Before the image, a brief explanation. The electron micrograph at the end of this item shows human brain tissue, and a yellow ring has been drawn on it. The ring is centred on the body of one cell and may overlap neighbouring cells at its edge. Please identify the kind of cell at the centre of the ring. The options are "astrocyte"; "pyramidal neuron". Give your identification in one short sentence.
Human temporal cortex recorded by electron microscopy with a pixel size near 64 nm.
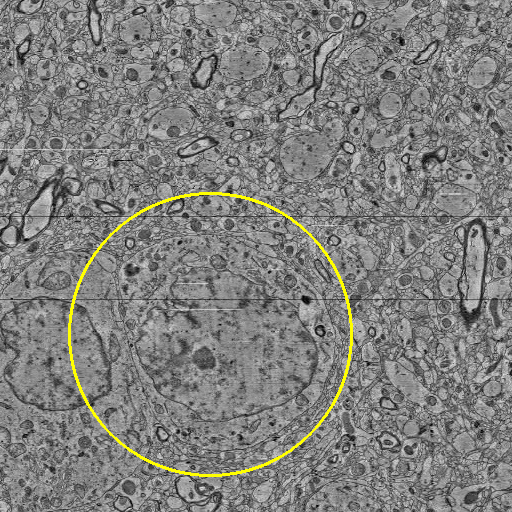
The ring has been placed around a pyramidal neuron.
